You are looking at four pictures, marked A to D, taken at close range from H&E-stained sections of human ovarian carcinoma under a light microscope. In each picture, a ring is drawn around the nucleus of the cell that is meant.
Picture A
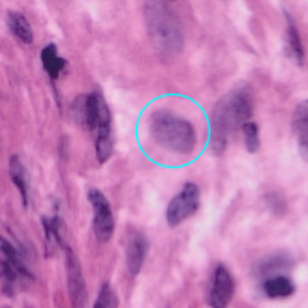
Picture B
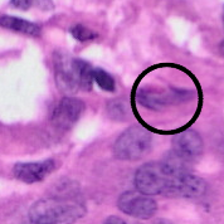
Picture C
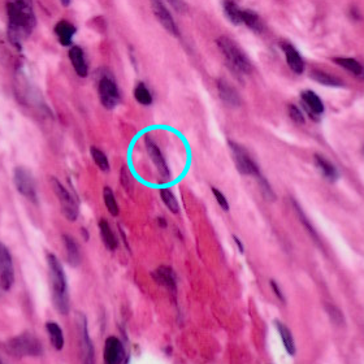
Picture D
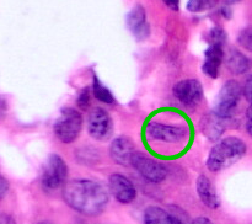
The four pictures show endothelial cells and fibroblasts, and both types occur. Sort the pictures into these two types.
A: fibroblast
B: endothelial cell
C: fibroblast
D: endothelial cell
